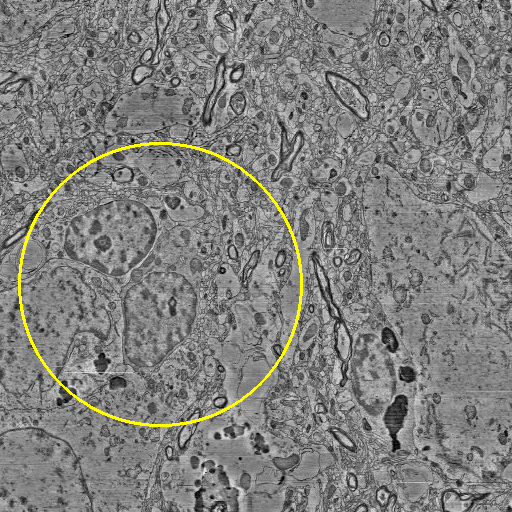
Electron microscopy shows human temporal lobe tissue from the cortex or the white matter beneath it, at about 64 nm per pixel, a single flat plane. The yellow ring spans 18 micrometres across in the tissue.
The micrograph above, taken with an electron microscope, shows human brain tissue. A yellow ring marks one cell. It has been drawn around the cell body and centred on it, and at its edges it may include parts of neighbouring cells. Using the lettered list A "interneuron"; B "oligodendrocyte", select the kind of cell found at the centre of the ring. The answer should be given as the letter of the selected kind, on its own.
B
